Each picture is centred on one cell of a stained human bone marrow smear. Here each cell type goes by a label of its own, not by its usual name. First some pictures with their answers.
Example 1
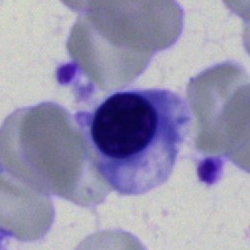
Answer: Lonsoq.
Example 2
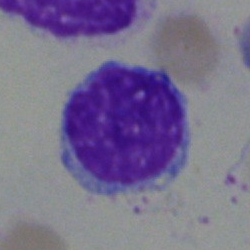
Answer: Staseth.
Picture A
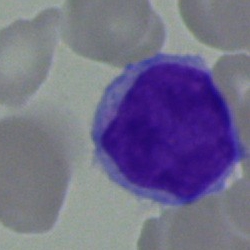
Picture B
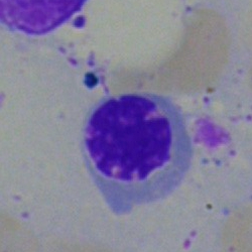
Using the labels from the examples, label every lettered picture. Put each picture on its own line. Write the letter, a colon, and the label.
A: Staseth.
B: Lonsoq.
